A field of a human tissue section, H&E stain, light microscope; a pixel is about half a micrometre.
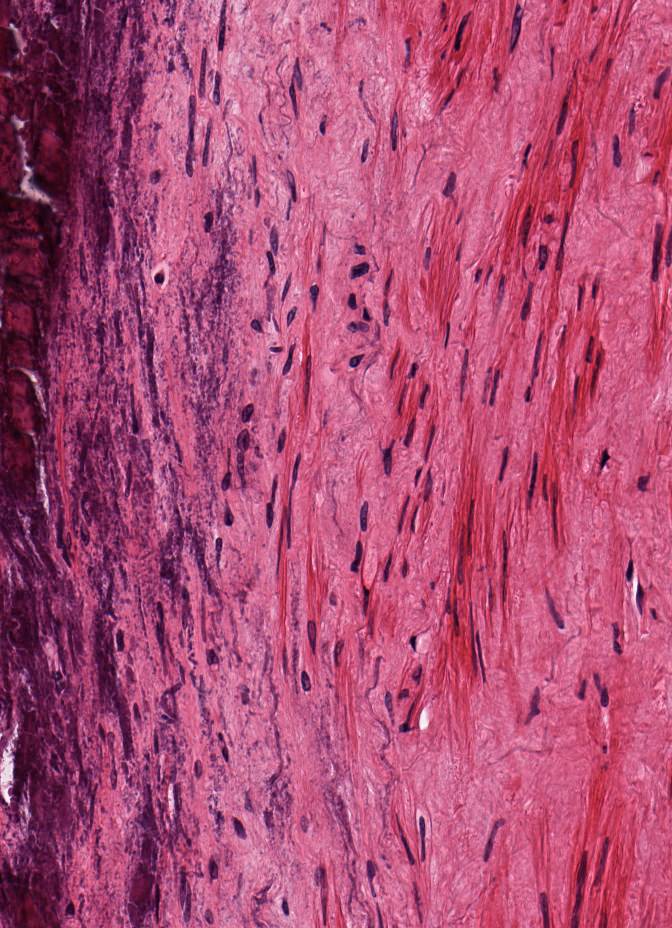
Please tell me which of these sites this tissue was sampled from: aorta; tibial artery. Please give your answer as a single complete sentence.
The specimen on this slide came from the tibial artery.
